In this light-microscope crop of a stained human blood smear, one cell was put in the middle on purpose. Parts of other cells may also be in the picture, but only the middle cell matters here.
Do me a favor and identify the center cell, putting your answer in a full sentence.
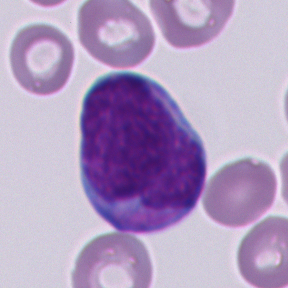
The middle of this crop holds an atypical promyelocyte.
